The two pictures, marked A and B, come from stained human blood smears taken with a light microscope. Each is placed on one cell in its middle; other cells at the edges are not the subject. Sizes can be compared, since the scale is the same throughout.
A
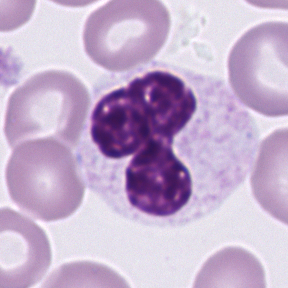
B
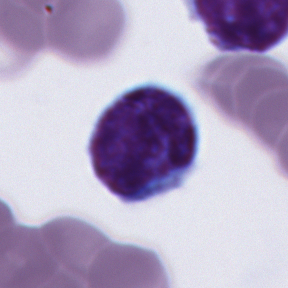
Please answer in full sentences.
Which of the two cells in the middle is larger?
Picture A holds the larger cell; it covers about 2 times the area of the cell in picture B.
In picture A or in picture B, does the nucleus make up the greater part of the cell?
The nucleus fills more of the cell in picture B than in picture A.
